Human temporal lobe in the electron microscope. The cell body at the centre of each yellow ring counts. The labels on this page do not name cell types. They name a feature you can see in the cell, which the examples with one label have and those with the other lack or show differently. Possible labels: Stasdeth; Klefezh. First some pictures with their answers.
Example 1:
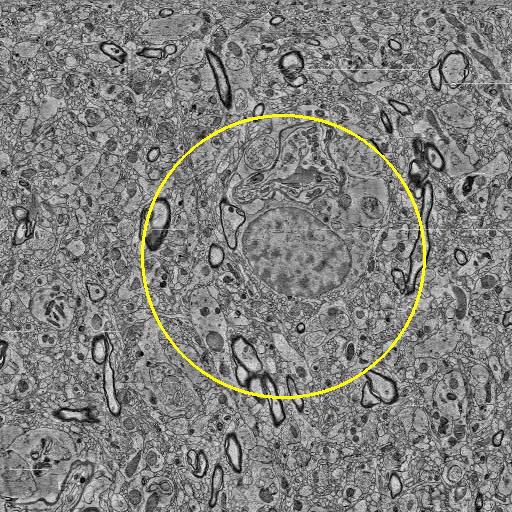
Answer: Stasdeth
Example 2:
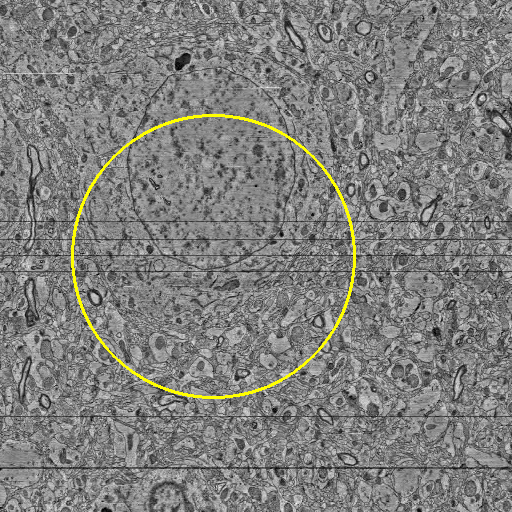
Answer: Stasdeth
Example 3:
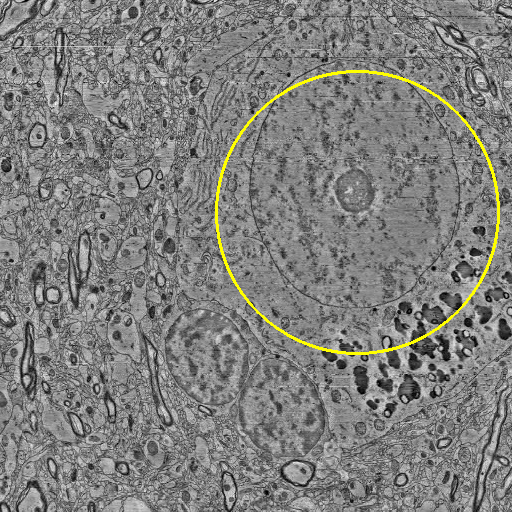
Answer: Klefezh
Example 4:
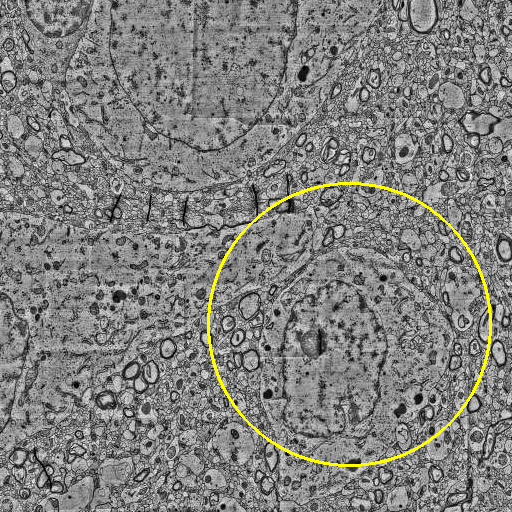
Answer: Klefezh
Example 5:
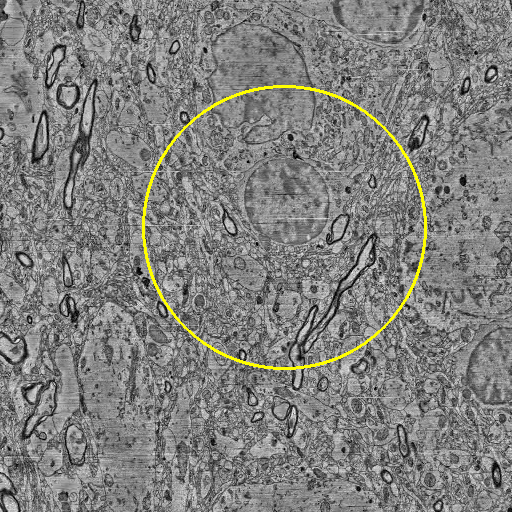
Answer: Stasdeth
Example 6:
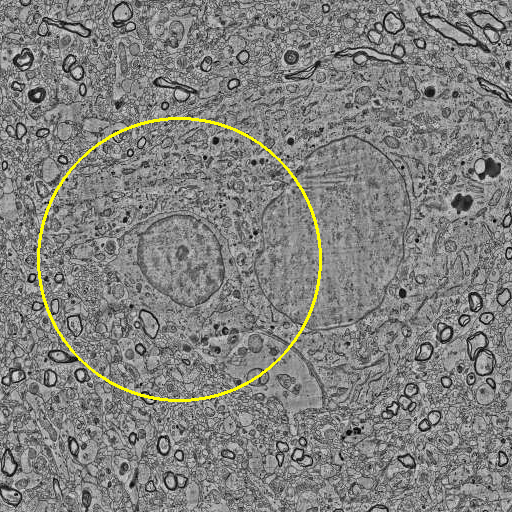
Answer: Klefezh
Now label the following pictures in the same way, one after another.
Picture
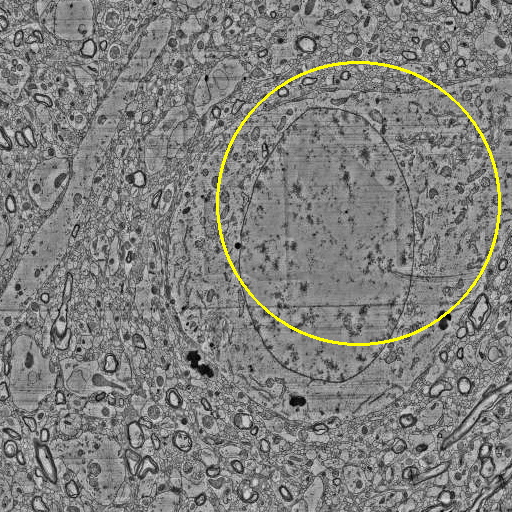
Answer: Stasdeth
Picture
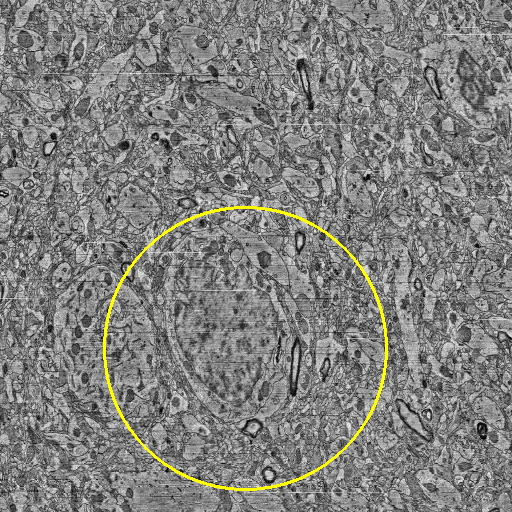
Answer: Stasdeth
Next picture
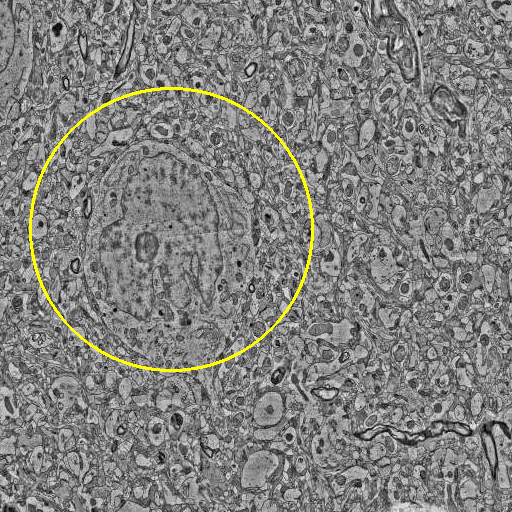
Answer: Klefezh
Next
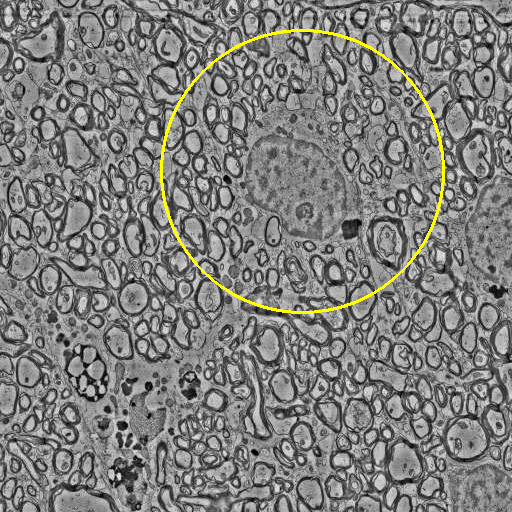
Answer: Klefezh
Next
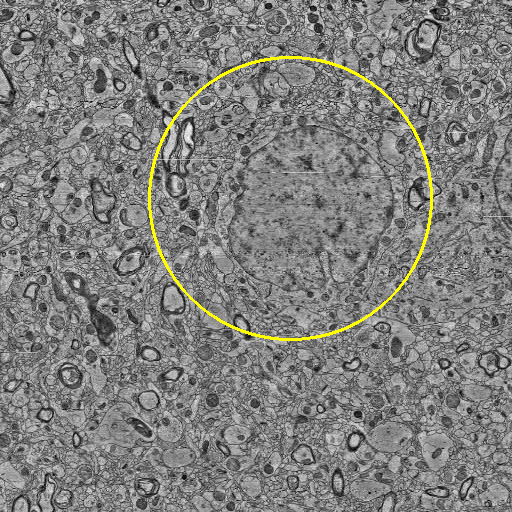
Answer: Stasdeth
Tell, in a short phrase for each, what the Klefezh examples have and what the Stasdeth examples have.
Klefezh: nucleolus seen; Stasdeth: no nucleolus seen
